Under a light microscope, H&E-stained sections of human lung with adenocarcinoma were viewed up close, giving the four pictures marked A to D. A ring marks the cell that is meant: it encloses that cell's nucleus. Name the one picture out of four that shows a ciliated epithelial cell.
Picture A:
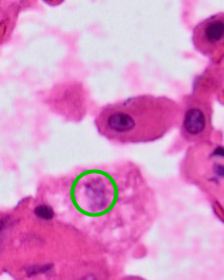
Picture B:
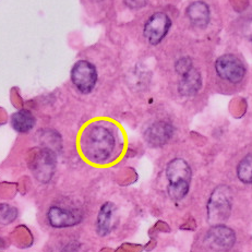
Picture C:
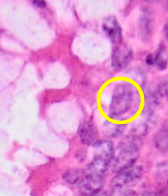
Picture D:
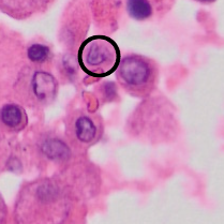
C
